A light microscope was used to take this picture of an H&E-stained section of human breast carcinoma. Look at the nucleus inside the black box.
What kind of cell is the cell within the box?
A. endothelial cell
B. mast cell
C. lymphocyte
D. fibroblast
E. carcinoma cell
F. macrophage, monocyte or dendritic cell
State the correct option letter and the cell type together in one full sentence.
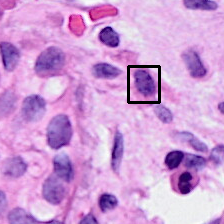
Option B is accurate, for the cell within the box is a mast cell.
